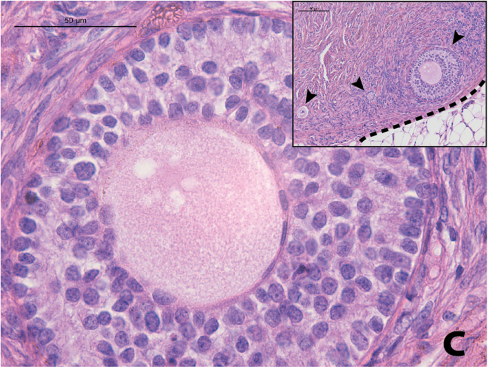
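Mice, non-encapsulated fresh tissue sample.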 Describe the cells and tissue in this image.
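A large follicle fills most of the field, with a big round central cell whose cytoplasm is pale pink and finely granular. At the edge, a thin rim of flattened, elongated cells wraps the follicle. The inset at low power shows this follicle among smaller ones in fibrous tissue, with fat at the lower edge.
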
